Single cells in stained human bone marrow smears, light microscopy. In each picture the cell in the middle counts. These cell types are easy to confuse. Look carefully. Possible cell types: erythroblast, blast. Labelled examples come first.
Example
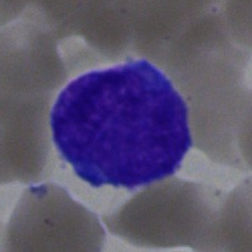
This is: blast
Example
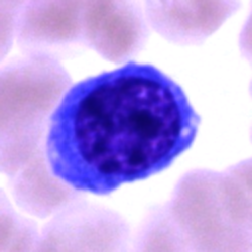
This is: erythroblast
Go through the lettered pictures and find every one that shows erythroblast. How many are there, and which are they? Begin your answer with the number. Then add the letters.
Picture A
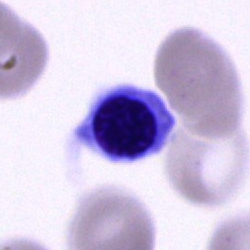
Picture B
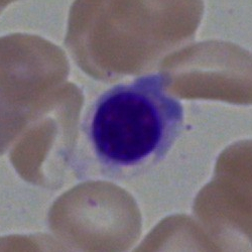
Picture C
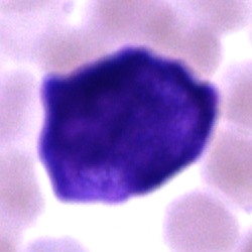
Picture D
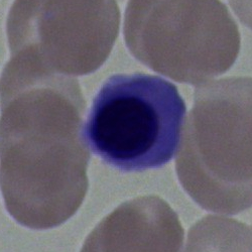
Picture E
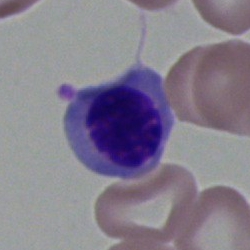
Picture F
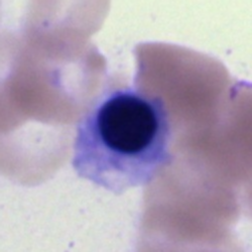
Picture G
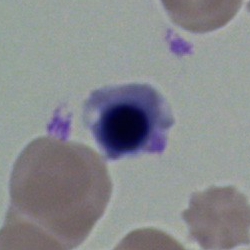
Count: 6 (A, B, D, E, F, G)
